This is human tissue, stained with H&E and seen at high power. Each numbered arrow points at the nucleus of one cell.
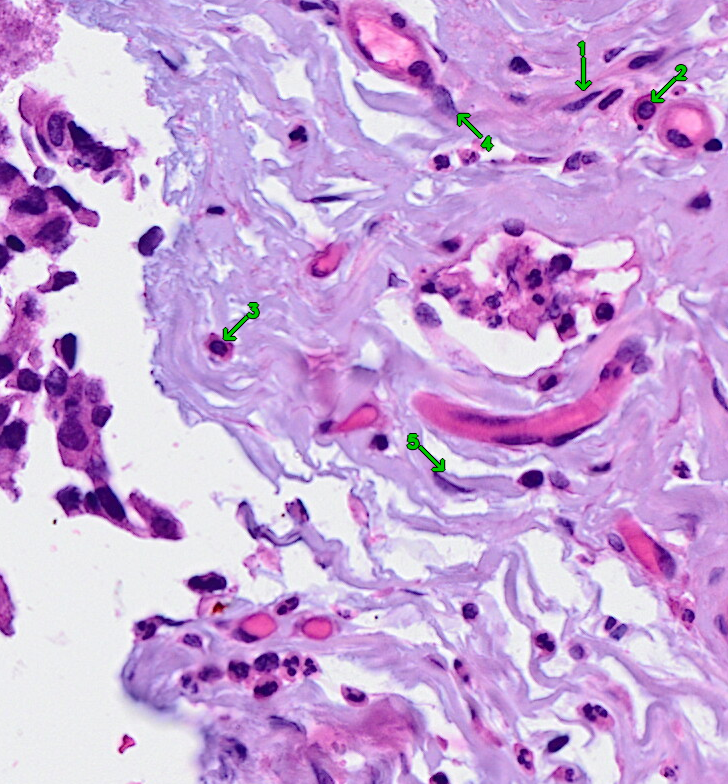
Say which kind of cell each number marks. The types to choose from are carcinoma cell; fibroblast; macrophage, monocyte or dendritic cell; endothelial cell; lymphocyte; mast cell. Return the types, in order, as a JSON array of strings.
["fibroblast", "mast cell", "mast cell", "fibroblast", "fibroblast"]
